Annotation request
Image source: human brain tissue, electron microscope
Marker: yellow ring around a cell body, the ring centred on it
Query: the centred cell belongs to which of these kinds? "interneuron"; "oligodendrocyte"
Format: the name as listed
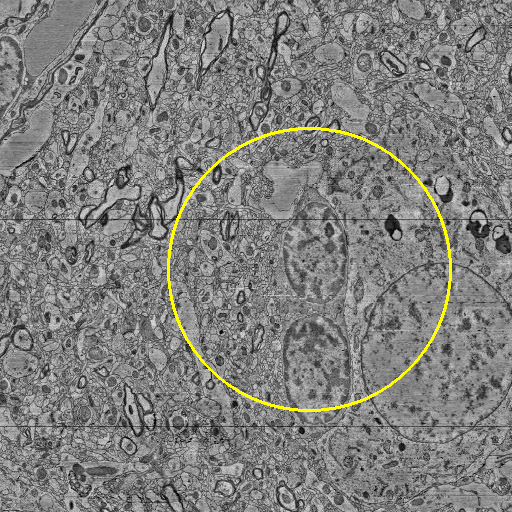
oligodendrocyte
